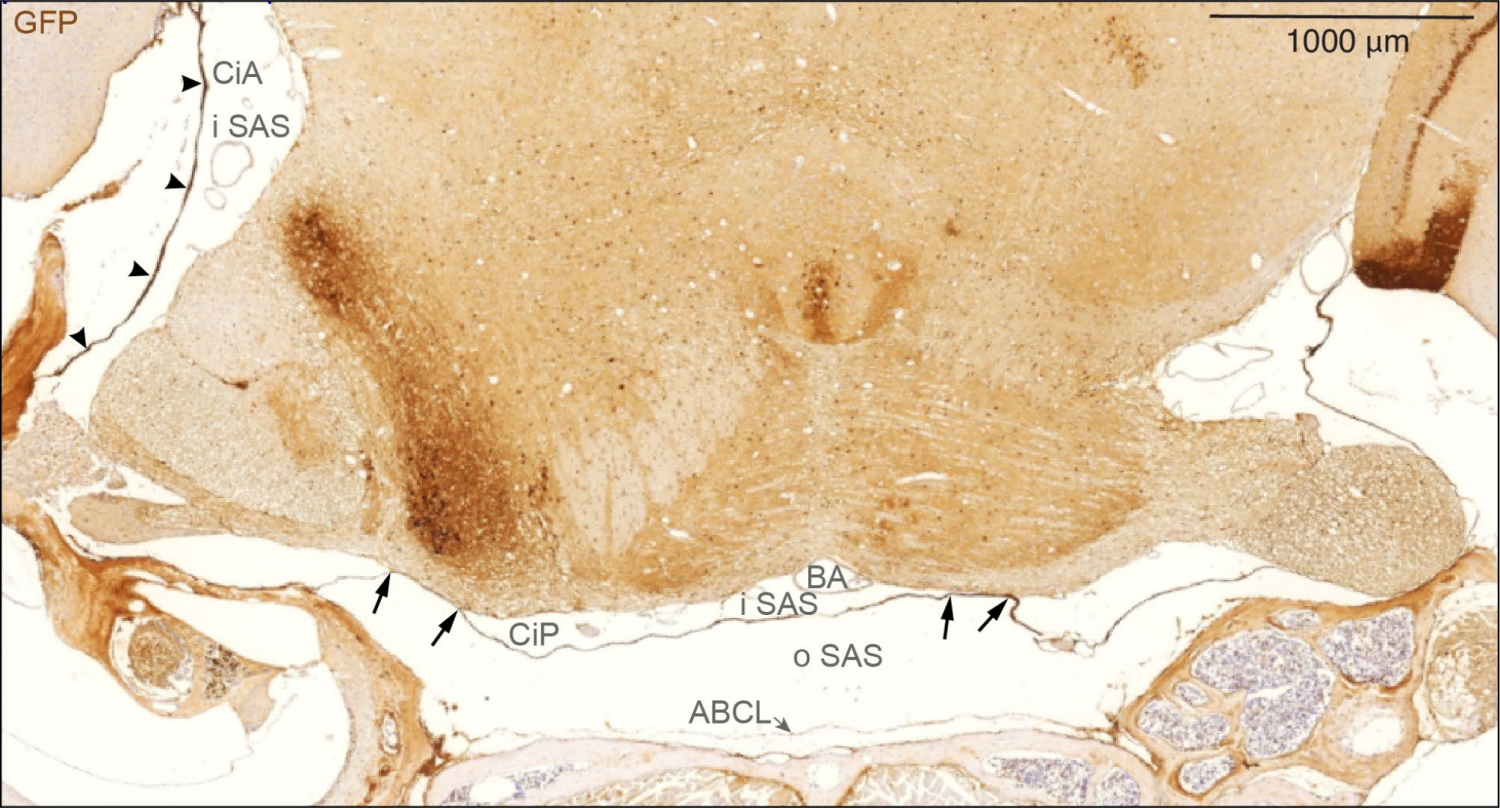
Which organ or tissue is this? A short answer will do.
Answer: Pons.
